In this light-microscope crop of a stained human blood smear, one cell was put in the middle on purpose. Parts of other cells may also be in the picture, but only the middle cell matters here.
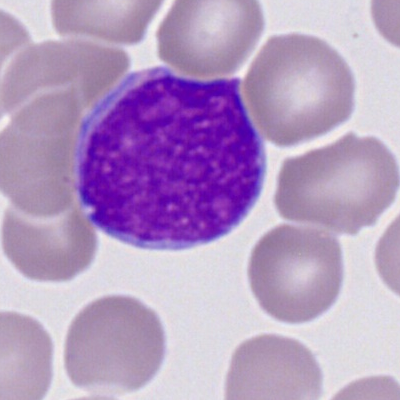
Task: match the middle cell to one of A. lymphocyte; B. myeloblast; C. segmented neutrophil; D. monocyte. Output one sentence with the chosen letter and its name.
The cell occupying the centre is a myeloblast; option B is thus the correct choice.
